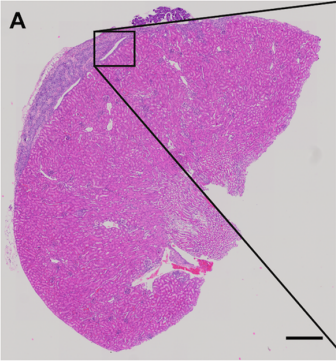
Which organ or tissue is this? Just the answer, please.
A: Kidney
